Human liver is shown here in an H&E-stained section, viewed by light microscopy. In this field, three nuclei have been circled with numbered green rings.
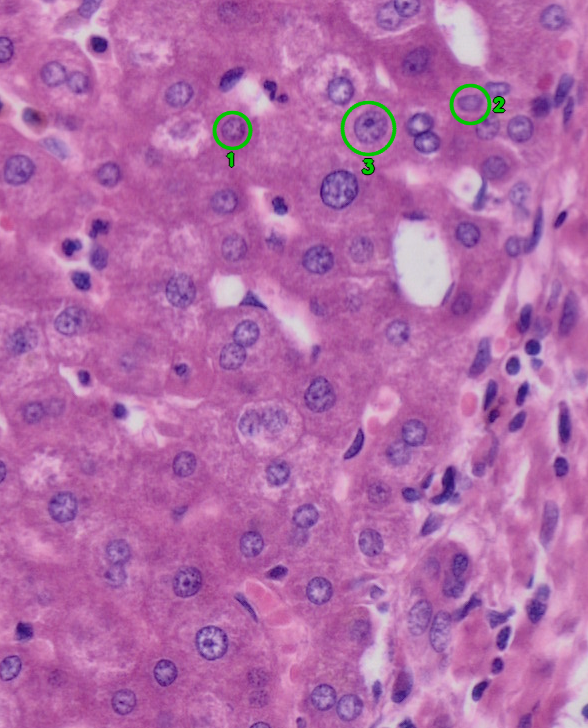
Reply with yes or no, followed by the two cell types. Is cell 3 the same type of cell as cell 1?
Yes, cells 3 and 1 are alike in being hepatocytes.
